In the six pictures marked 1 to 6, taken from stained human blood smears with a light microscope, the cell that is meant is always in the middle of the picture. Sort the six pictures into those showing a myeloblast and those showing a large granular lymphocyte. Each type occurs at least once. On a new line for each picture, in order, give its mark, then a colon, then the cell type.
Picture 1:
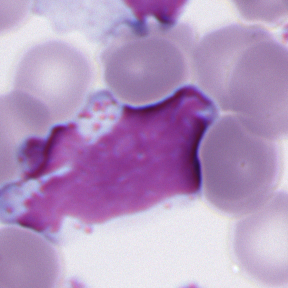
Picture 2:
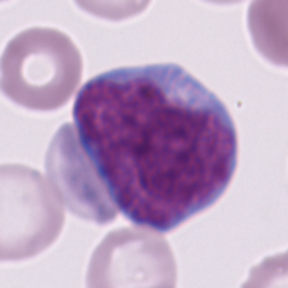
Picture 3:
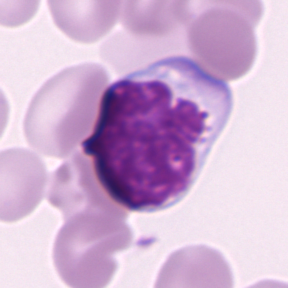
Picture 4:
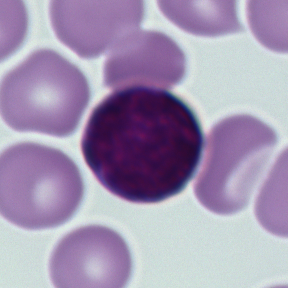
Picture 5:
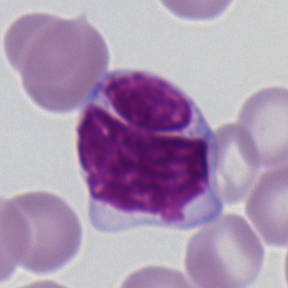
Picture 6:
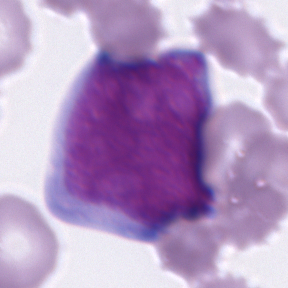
1: large granular lymphocyte
2: myeloblast
3: large granular lymphocyte
4: myeloblast
5: large granular lymphocyte
6: myeloblast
